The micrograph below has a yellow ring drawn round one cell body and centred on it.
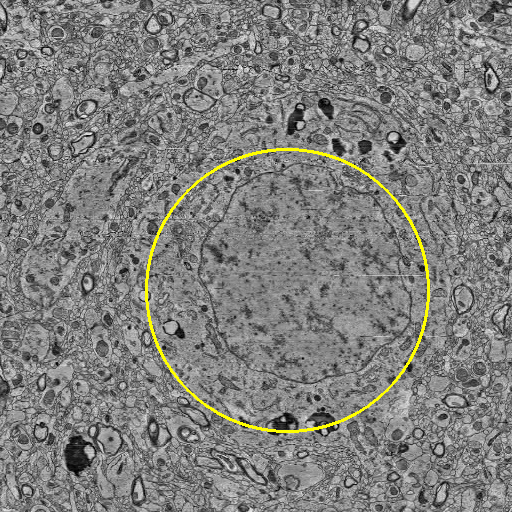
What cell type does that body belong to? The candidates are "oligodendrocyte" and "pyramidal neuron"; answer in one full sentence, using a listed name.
This is a pyramidal neuron, the cell whose body lies at the centre of the ring.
